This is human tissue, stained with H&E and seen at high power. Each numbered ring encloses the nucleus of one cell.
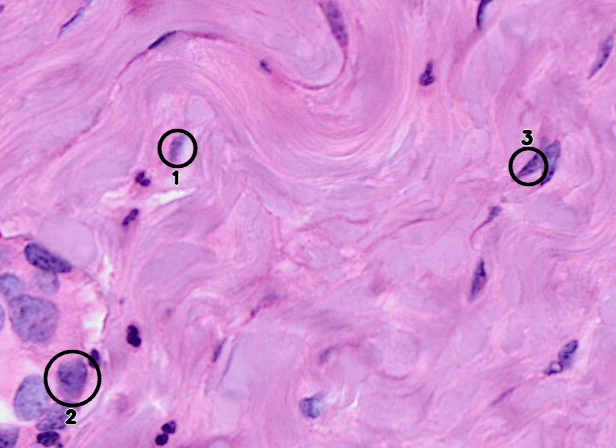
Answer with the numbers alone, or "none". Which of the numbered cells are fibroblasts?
1, 3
